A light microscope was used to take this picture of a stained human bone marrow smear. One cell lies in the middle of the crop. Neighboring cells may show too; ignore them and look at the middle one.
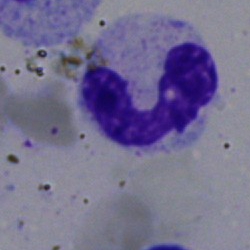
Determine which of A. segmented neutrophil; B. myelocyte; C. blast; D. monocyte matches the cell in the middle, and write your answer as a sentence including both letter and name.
Option A is the right one, for the cell in the middle is a segmented neutrophil.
